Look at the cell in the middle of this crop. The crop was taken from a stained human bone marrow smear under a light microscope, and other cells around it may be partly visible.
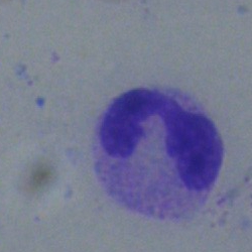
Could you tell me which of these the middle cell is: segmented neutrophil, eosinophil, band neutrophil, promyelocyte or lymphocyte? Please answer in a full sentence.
The centrally positioned cell in the crop represents a segmented neutrophil.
